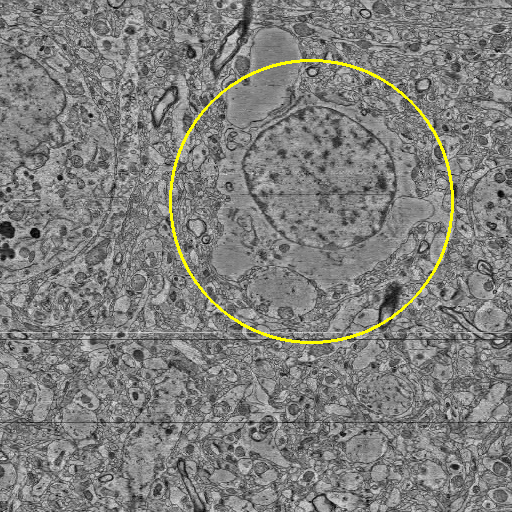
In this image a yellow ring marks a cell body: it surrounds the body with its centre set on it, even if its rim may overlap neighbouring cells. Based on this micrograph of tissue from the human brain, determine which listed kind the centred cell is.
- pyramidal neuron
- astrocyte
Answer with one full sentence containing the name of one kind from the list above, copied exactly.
It is an astrocyte whose body the yellow ring encloses at its centre.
